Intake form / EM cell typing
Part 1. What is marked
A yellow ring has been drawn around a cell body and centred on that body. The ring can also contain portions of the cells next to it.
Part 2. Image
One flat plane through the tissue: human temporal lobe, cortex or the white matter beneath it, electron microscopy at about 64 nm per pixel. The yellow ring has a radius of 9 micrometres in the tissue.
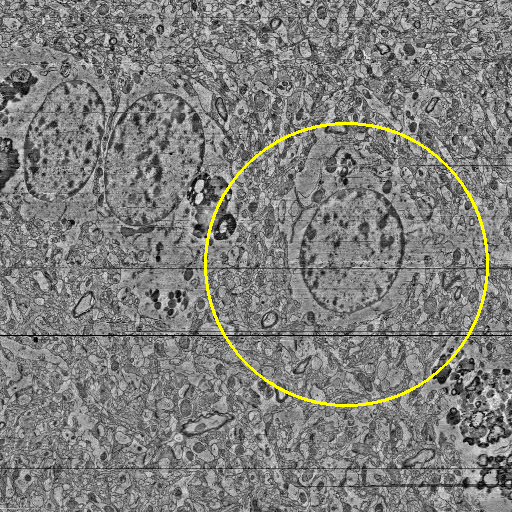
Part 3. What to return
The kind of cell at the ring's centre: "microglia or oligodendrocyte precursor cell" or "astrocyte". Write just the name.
astrocyte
